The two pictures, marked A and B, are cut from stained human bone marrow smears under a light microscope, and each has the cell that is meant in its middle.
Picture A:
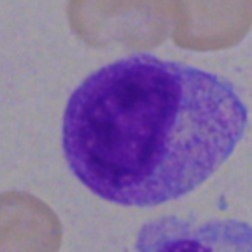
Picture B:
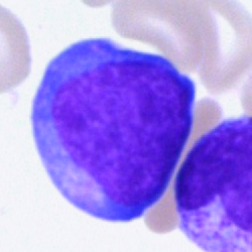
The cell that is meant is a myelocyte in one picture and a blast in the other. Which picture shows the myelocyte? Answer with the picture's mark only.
A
